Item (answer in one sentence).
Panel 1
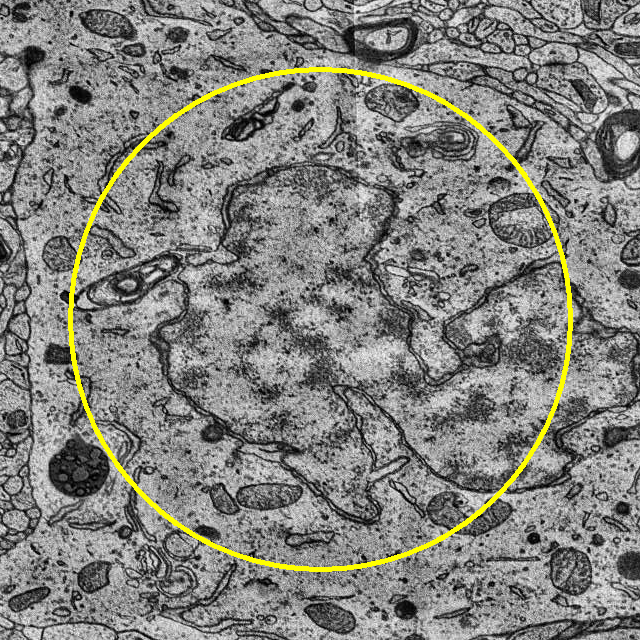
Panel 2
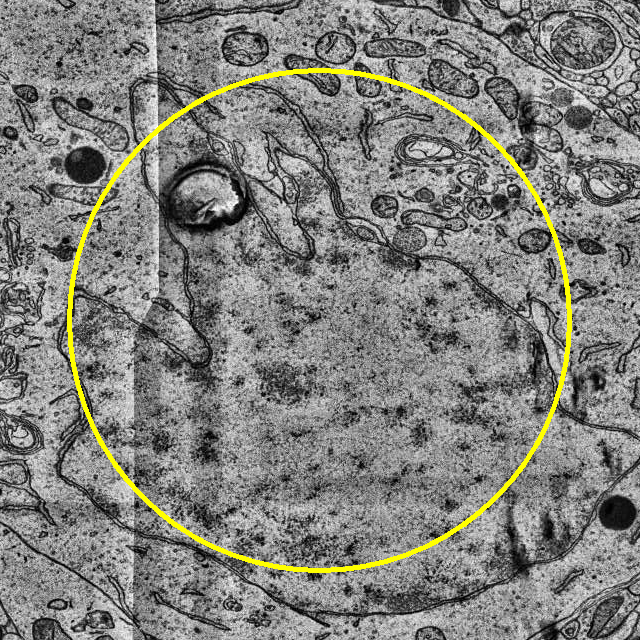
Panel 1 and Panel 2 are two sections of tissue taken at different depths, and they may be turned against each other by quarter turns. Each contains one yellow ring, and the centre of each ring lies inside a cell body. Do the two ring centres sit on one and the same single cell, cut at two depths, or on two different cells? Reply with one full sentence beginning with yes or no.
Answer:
No, the two rings mark two different cells.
